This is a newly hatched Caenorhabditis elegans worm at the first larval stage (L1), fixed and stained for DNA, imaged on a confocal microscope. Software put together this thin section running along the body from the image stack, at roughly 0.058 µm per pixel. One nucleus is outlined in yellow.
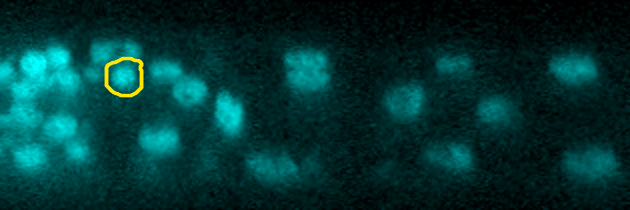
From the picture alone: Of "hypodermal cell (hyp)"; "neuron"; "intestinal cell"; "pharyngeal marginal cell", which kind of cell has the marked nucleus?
neuron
